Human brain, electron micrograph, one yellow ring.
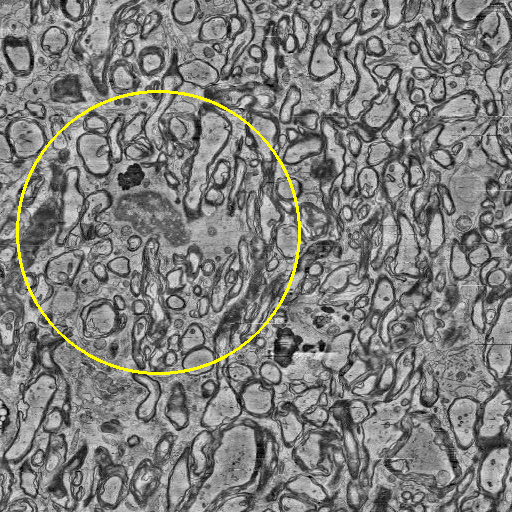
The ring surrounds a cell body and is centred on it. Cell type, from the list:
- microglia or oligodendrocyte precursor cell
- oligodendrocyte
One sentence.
The yellow ring circles an oligodendrocyte.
